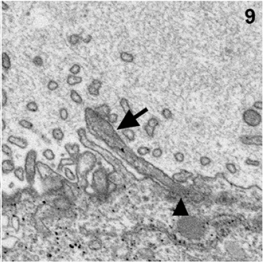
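This electron micrograph shows a pale, finely fibrous extracellular layer crowded with many small, round to oval membrane-bound profiles cut in cross section, and at the bottom the denser, granular cytoplasm of a large cell. The small profiles become more numerous and more irregular toward the bottom, where slender processes and folds rise from the surface of that cell. An elongated, dark, membrane-bound process, marked by an arrow, runs obliquely downward through the pale layer. It reaches the lower cell's surface at the point marked by a black triangle.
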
